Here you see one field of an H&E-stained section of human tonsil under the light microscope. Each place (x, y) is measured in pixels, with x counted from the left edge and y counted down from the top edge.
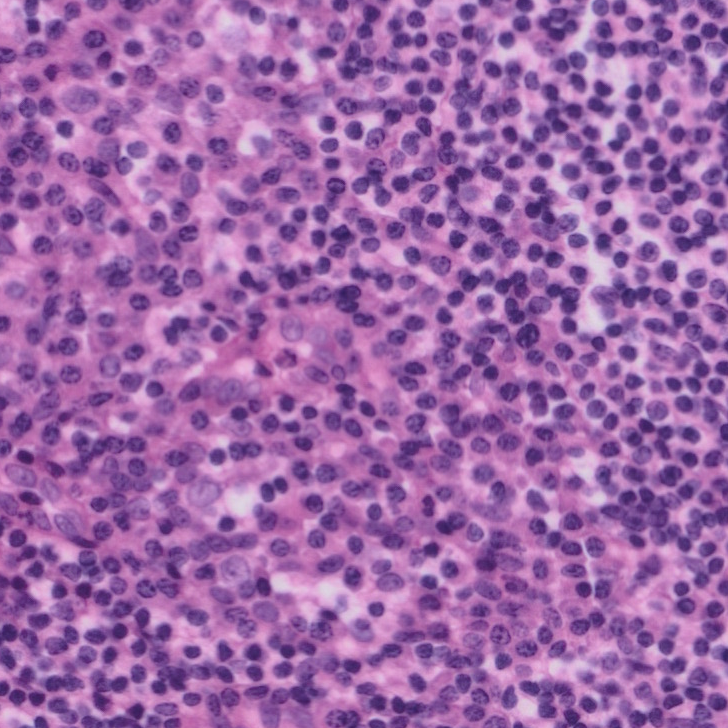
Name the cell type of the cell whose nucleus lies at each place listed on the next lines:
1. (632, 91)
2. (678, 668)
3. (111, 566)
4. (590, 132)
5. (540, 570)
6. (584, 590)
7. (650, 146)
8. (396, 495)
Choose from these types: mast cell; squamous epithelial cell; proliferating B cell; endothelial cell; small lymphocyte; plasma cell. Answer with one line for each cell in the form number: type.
1: small lymphocyte
2: small lymphocyte
3: plasma cell
4: small lymphocyte
5: plasma cell
6: plasma cell
7: small lymphocyte
8: plasma cell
